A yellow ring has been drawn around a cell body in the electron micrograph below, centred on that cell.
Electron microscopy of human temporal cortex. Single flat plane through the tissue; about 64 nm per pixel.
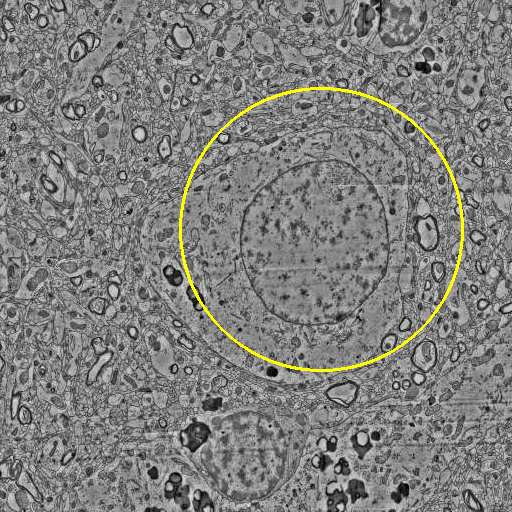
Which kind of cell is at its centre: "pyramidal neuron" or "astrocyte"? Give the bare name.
pyramidal neuron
